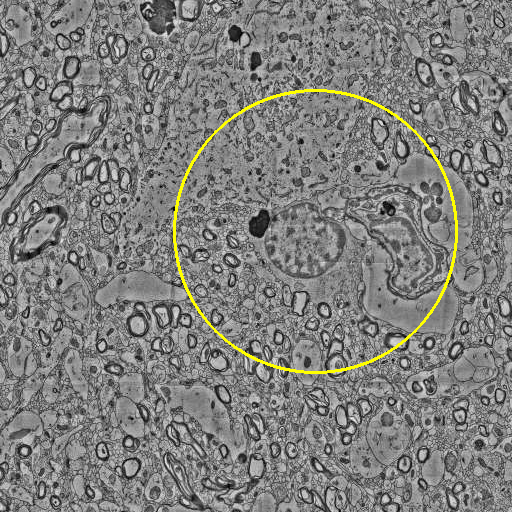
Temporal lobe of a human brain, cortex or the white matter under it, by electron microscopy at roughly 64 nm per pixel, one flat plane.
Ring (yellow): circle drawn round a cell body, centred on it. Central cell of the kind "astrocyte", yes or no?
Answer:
no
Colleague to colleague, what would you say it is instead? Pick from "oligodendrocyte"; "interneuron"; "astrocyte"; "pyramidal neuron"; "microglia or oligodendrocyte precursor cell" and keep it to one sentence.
At the centre of the ring sits an oligodendrocyte.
